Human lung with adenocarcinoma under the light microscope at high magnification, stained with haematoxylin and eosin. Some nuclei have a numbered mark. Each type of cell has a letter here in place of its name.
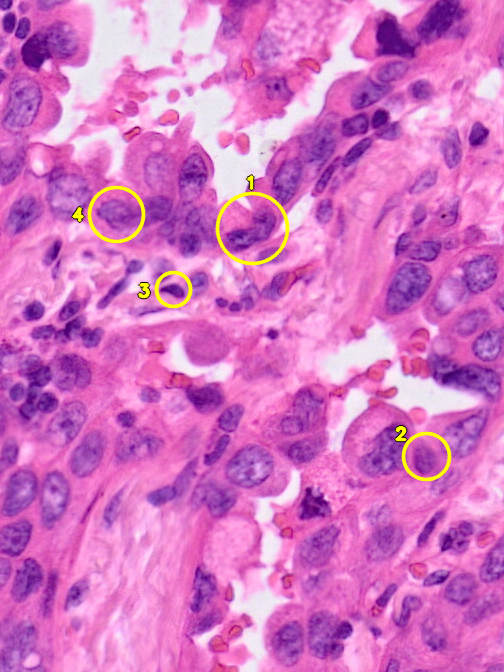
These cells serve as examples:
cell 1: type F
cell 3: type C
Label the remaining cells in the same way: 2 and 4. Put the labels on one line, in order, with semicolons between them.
type F; type F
